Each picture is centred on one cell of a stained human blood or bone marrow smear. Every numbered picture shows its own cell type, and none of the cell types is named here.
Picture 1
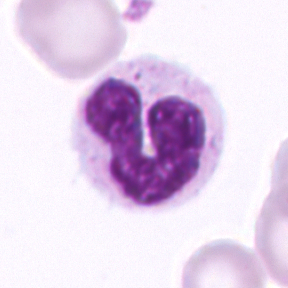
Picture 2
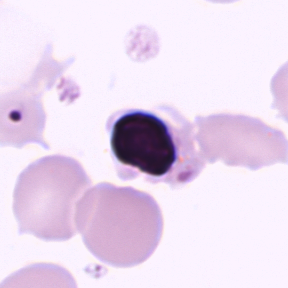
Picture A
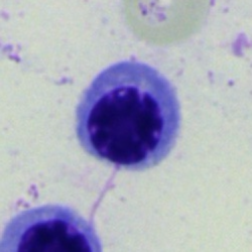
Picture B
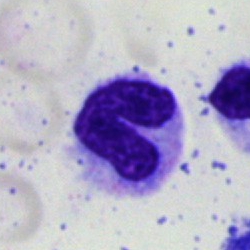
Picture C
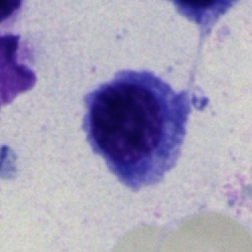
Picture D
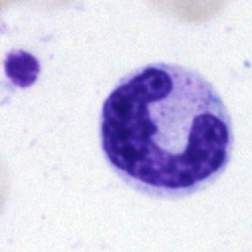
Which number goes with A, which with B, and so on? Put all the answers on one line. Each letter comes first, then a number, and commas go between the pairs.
A 2, B 1, C 2, D 1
